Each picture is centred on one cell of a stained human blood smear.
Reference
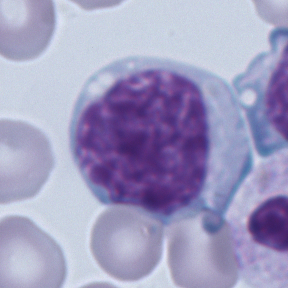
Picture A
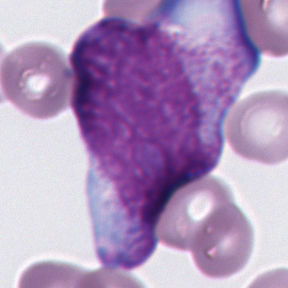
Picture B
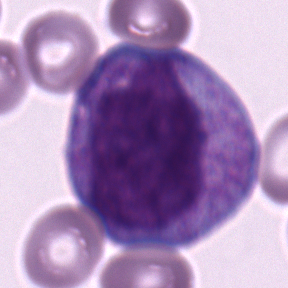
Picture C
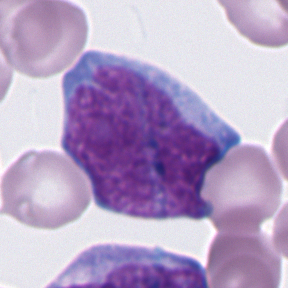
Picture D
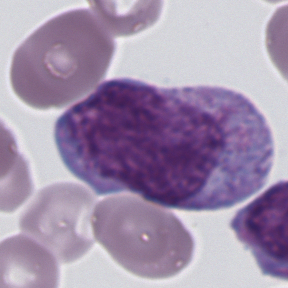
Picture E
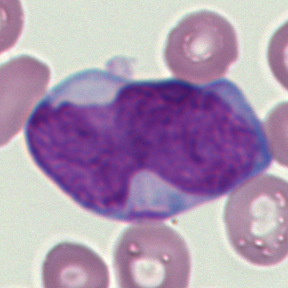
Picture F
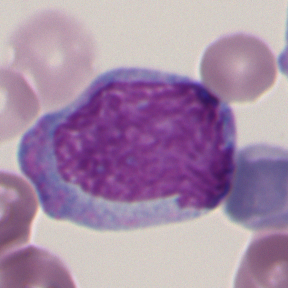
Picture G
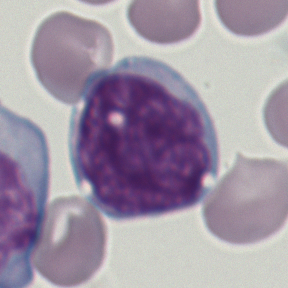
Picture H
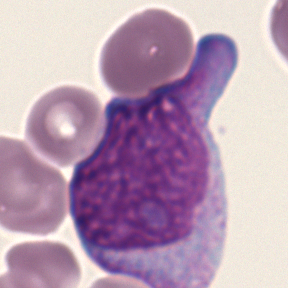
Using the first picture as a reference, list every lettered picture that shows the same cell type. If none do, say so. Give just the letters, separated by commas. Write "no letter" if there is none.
C, G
